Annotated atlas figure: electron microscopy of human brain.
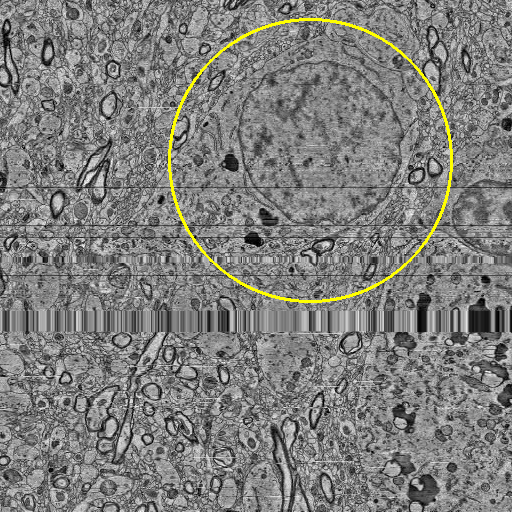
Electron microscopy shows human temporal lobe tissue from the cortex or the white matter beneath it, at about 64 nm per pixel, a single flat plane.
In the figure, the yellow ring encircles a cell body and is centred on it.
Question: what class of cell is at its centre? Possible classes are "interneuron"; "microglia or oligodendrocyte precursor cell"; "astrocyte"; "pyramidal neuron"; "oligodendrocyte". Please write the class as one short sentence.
The yellow ring is drawn around an interneuron.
